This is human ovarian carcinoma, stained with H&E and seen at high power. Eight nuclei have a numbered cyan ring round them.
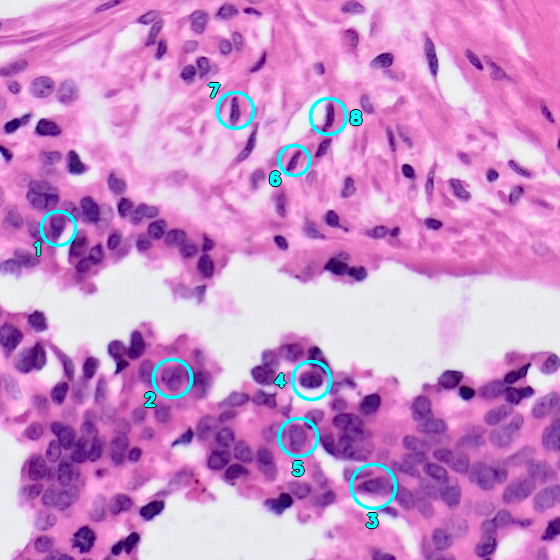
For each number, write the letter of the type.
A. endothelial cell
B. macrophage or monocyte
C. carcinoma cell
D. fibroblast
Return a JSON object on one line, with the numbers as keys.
{"1": "C", "2": "C", "3": "C", "4": "C", "5": "C", "6": "D", "7": "D", "8": "D"}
